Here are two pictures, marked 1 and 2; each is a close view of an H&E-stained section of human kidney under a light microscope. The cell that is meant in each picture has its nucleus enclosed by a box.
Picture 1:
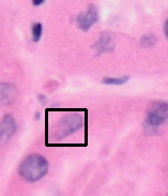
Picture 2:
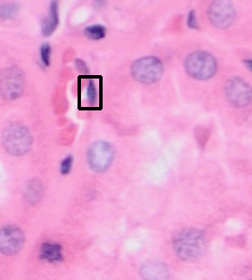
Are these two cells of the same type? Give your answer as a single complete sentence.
No, picture 1 shows a proximal tubule cell and picture 2 shows an endothelial cell.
